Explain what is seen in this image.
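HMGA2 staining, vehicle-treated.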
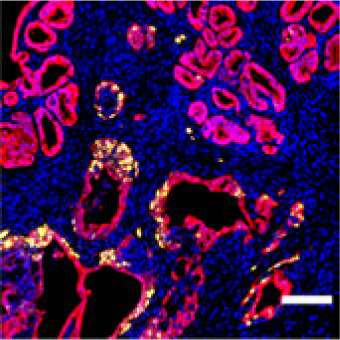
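Most are small round or oval units, each a ring of epithelial cells around a central lumen. Several larger structures have wide, dark, irregular lumens. Between them lies stroma densely packed with blue nuclei. Yellow dots appear in clusters at the edges of some of the larger, irregular lesions, especially toward the lower left and in one small ring near the top left. The small round units elsewhere in the field carry little or no yellow.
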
